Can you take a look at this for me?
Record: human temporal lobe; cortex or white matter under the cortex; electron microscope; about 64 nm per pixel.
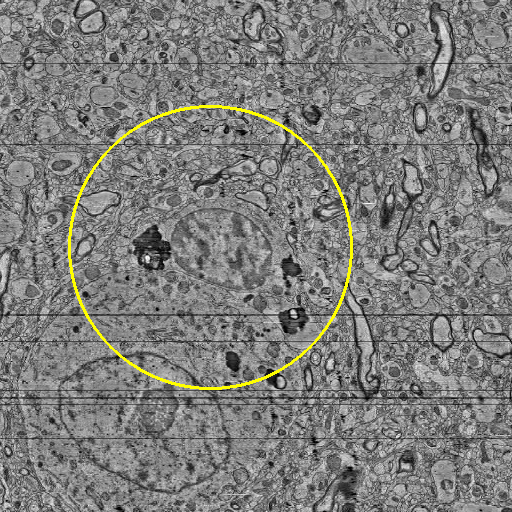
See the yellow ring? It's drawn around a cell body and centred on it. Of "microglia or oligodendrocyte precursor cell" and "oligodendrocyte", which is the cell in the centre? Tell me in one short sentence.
The one in the centre is an oligodendrocyte.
